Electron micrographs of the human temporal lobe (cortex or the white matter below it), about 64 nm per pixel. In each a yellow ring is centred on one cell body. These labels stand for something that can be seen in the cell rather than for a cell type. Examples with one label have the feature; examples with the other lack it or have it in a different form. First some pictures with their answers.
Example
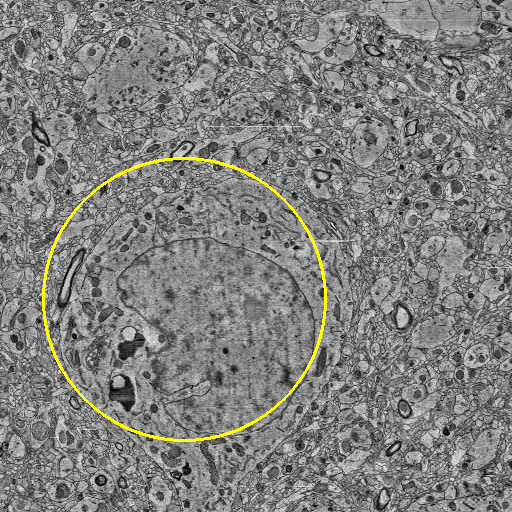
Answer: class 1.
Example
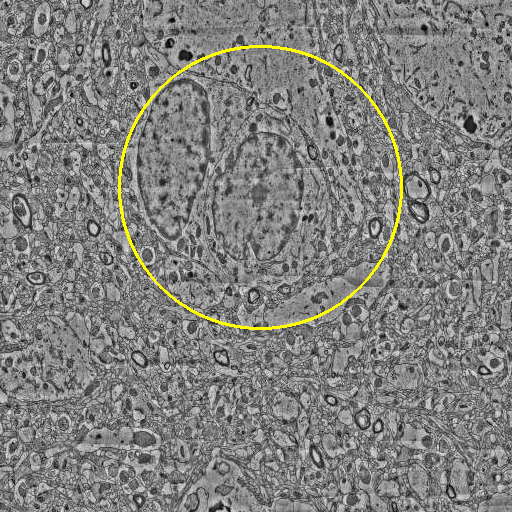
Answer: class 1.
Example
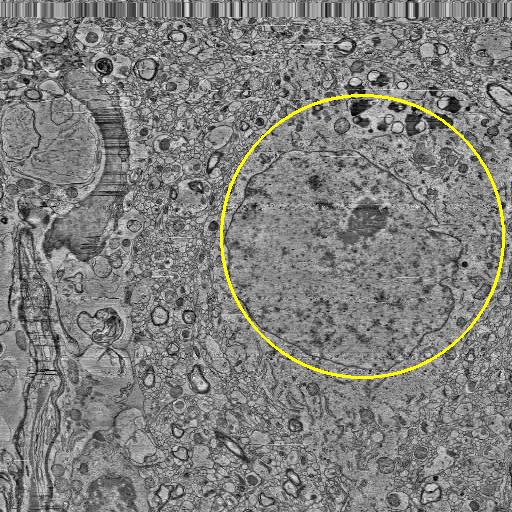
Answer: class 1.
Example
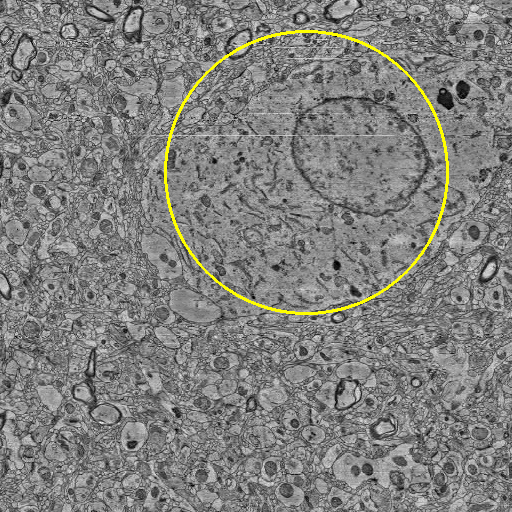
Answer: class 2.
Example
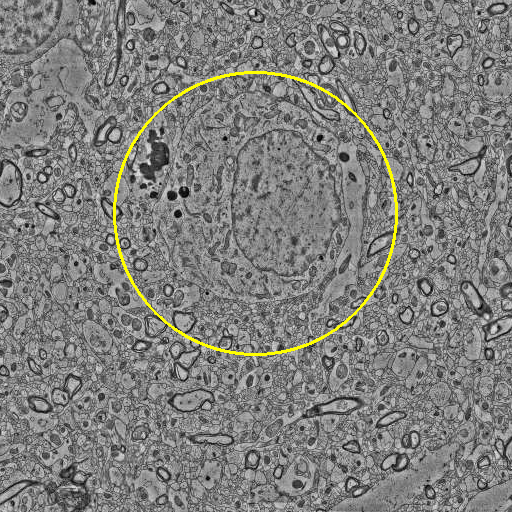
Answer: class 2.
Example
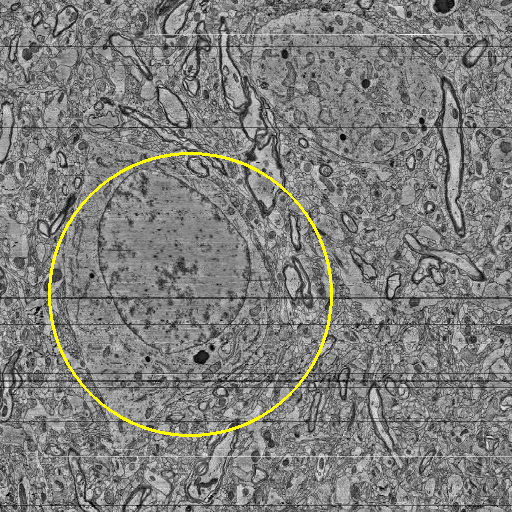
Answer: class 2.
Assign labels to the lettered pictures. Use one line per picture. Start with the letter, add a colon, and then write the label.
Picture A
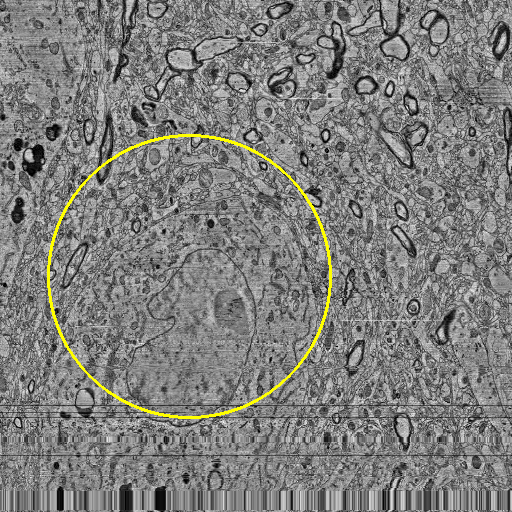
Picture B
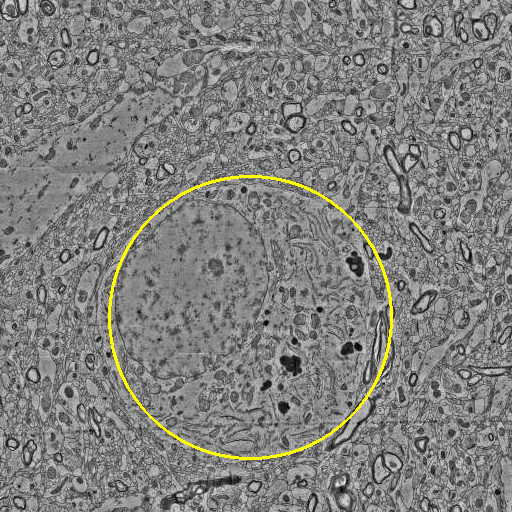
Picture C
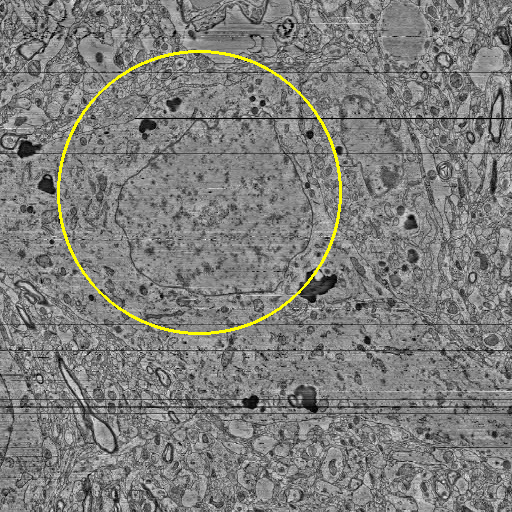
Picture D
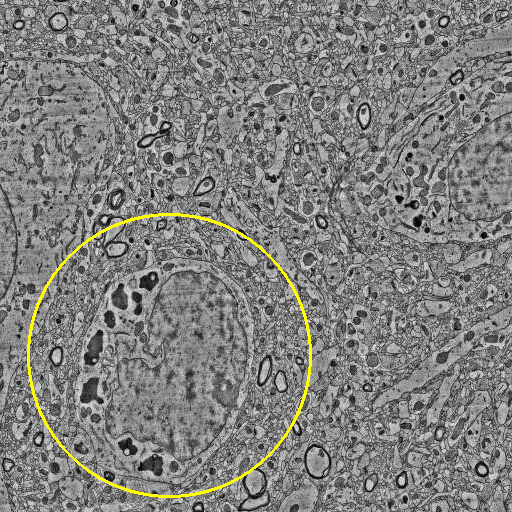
A: class 1.
B: class 2.
C: class 2.
D: class 1.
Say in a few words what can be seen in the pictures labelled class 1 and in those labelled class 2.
class 1: deeply folded or indented nuclear envelopes; class 2: smooth nuclear envelopes without deep folds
